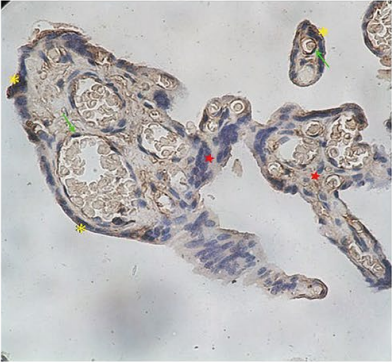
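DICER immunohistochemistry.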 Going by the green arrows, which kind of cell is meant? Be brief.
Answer: endothelial cells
